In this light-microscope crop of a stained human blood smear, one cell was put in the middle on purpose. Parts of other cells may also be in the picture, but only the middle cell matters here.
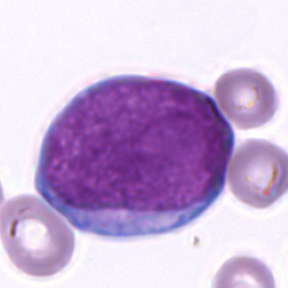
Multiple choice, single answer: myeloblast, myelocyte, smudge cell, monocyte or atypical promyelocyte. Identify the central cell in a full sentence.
The cell occupying the middle of the crop is a myeloblast.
